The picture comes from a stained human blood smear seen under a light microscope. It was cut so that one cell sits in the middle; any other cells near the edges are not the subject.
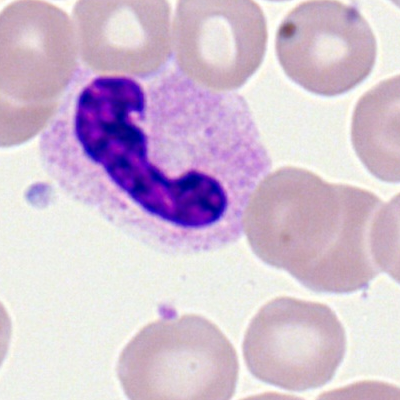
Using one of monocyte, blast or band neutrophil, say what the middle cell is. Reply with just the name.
band neutrophil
